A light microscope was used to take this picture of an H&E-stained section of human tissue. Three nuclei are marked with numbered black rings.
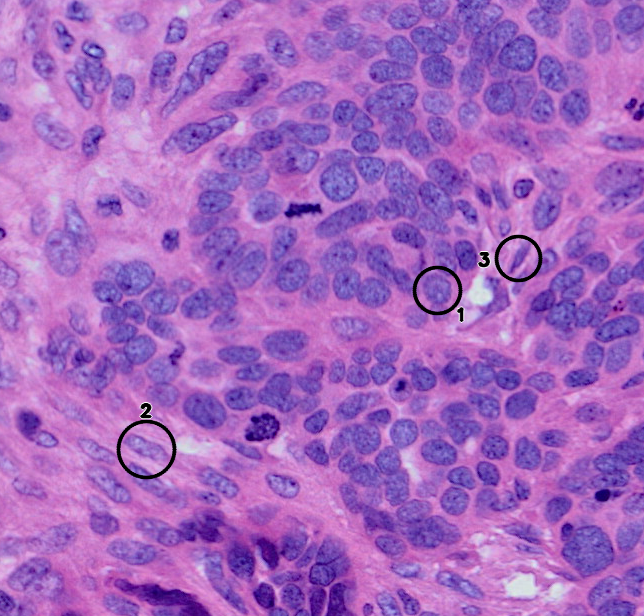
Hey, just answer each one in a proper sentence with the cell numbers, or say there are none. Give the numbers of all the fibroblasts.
The cells numbered 2 and 3 fall into the category of fibroblasts.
